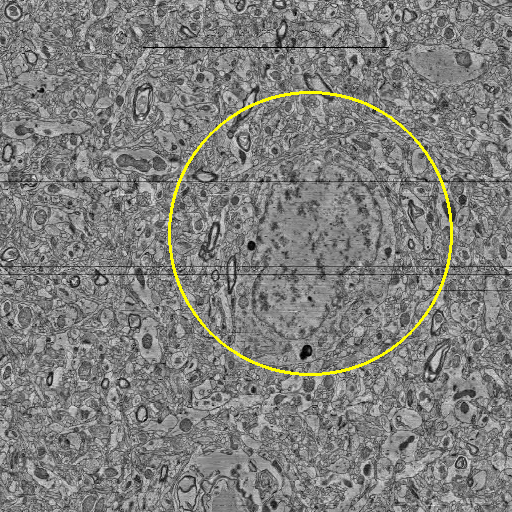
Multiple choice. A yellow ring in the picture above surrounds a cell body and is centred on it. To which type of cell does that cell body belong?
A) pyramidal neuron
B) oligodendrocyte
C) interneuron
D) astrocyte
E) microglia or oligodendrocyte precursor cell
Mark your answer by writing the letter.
C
